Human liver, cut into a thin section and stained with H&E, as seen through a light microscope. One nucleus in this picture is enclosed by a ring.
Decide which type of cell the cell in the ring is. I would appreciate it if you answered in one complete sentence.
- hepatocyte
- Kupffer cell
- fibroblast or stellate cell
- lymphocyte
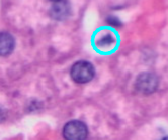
The cell type of the cell in the ring is that of a lymphocyte.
